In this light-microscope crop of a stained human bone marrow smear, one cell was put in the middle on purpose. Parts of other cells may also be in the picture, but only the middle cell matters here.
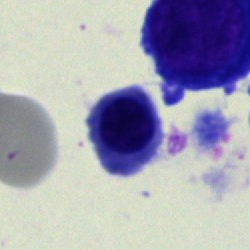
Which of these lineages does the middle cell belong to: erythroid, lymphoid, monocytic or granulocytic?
erythroid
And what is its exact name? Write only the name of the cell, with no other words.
erythroblast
